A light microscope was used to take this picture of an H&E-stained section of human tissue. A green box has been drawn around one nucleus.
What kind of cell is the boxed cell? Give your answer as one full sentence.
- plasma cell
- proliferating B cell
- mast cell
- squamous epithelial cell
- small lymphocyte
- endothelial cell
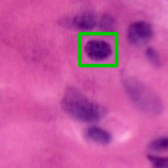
Assigned to a cell type, the boxed cell is a mast cell.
